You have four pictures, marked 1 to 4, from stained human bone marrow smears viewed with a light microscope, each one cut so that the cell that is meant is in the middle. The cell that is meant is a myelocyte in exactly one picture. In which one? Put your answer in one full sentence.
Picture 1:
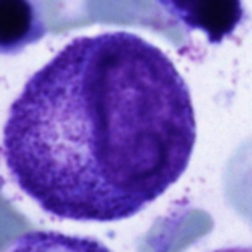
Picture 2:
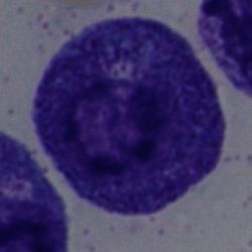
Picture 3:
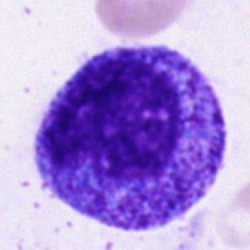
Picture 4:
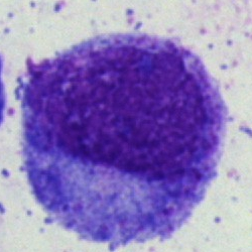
The cell in picture 1 is the myelocyte.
